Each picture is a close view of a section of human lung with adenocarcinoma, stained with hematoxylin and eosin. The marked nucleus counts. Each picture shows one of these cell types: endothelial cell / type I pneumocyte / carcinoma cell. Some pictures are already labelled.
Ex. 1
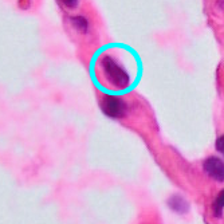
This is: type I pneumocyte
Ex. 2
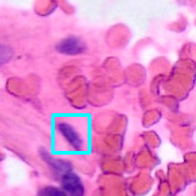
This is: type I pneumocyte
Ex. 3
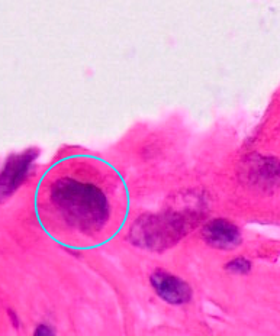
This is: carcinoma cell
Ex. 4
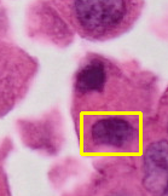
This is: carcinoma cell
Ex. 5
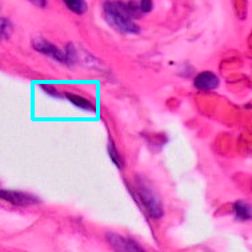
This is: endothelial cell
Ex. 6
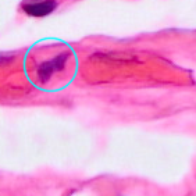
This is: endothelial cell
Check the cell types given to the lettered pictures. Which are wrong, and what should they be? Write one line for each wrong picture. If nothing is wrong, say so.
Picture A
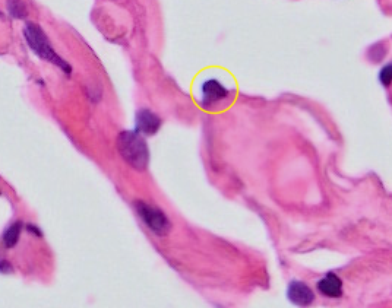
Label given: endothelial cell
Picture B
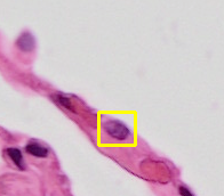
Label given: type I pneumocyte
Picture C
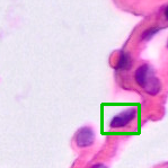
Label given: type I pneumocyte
A is labelled endothelial cell; correct label: type I pneumocyte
